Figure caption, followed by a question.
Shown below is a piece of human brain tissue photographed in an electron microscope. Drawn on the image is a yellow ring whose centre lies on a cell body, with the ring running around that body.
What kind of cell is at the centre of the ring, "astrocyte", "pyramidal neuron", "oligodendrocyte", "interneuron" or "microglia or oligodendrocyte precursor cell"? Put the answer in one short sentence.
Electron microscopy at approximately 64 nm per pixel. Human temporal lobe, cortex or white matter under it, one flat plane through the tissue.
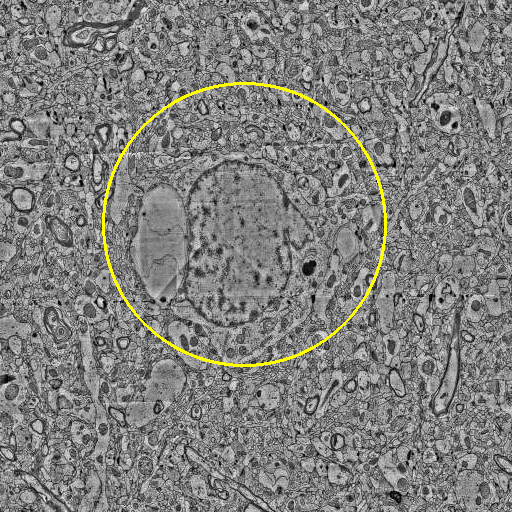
The ring marks the cell body of an interneuron.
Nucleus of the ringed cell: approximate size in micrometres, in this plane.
In this plane, the nucleus is roughly 11 by 8 micrometres.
